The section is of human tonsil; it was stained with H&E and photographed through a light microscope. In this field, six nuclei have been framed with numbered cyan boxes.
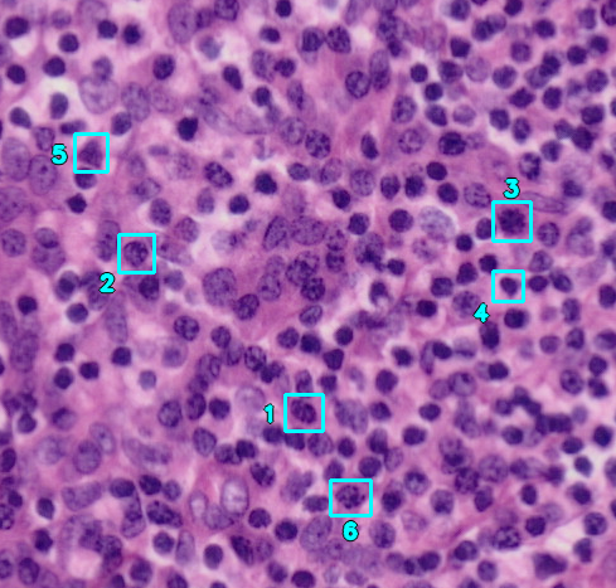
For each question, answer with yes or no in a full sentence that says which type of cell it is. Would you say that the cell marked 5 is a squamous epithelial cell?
Yes, in the section, number 5 is a squamous epithelial cell.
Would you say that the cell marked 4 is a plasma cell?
No, the cell that carries number 4 is a small lymphocyte, not a plasma cell.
